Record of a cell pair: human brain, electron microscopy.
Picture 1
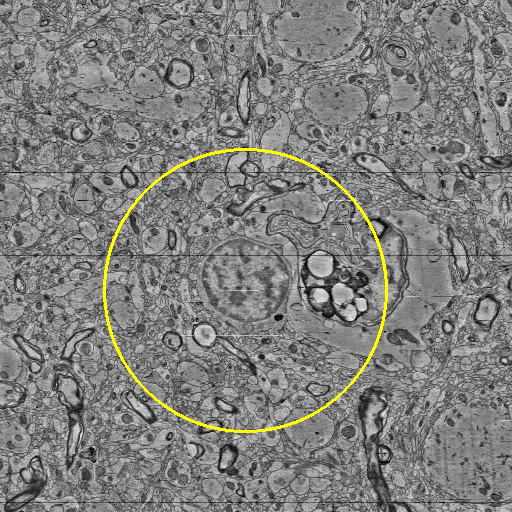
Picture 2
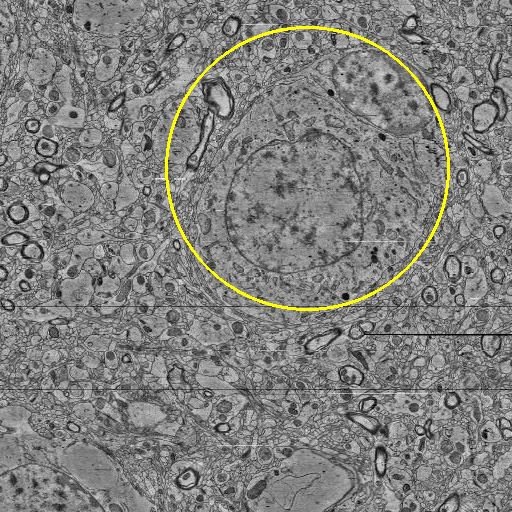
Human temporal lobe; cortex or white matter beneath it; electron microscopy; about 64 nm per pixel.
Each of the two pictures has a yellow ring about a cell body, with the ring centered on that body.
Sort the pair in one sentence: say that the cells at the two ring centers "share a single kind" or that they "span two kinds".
The cells centered in the rings of Pictures 1 and 2 span two kinds.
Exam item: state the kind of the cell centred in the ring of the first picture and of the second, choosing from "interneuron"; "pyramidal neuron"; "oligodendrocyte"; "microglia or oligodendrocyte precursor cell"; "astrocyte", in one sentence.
The first picture shows an oligodendrocyte at the ring centre and the second shows a pyramidal neuron.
